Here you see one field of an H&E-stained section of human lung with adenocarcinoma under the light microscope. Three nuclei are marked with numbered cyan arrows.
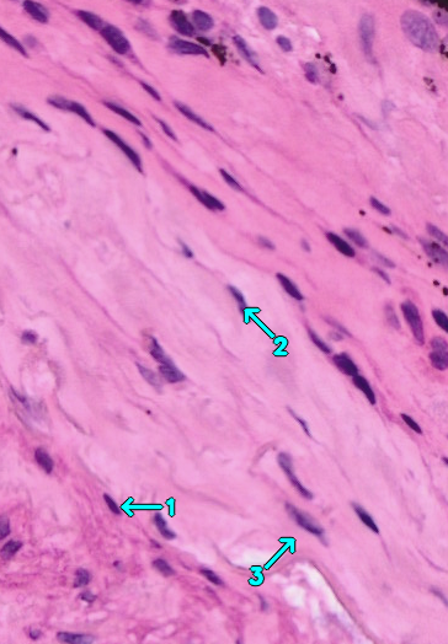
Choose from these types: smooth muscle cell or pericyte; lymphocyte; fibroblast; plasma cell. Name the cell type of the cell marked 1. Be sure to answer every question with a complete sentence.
The cell indicated with the number 1 is classed as a smooth muscle cell or pericyte.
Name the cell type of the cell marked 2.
The cell whose nucleus carries the number 2 is a fibroblast.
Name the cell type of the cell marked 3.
Corresponding to a fibroblast is the cell labelled 3.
